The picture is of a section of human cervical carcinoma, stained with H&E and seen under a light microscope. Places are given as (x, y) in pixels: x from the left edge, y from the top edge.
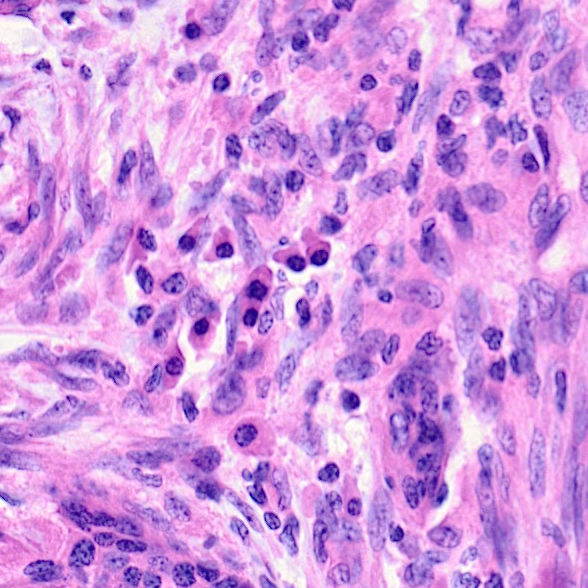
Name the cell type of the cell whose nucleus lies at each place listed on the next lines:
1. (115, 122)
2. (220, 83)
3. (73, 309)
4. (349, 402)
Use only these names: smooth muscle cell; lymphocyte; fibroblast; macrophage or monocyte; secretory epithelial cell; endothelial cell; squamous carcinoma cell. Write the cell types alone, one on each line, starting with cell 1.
fibroblast
lymphocyte
fibroblast
lymphocyte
